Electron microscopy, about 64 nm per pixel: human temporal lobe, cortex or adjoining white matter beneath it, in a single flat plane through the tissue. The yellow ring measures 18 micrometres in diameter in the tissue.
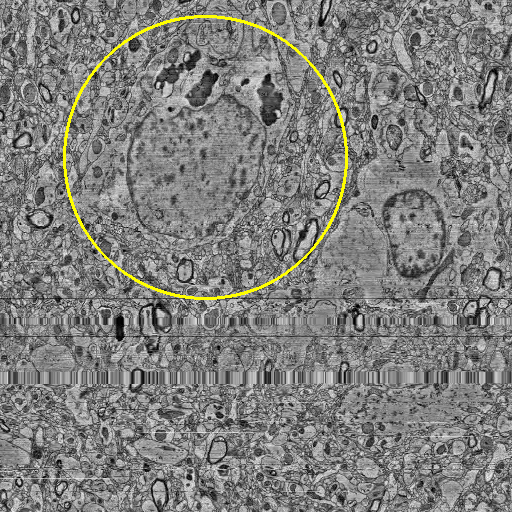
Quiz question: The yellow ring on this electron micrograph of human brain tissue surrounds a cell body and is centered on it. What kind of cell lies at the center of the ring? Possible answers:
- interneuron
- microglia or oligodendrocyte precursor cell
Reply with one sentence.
The ring's center lies on an interneuron.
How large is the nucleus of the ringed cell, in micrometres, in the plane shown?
Approximately 10 x 8 micrometres in this plane.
